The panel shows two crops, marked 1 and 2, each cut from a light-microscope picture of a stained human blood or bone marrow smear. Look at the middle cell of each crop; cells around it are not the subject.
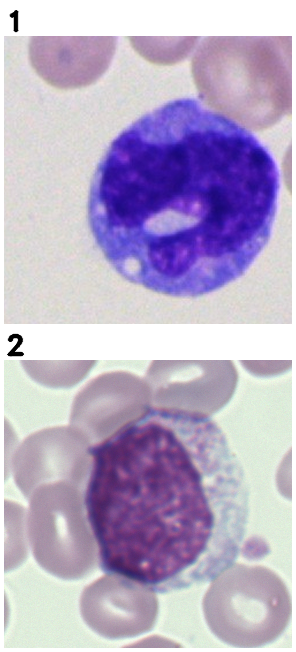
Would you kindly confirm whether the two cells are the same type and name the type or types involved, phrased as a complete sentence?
No, crop 1 shows a monocyte, and crop 2, by contrast, shows a myelocyte.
